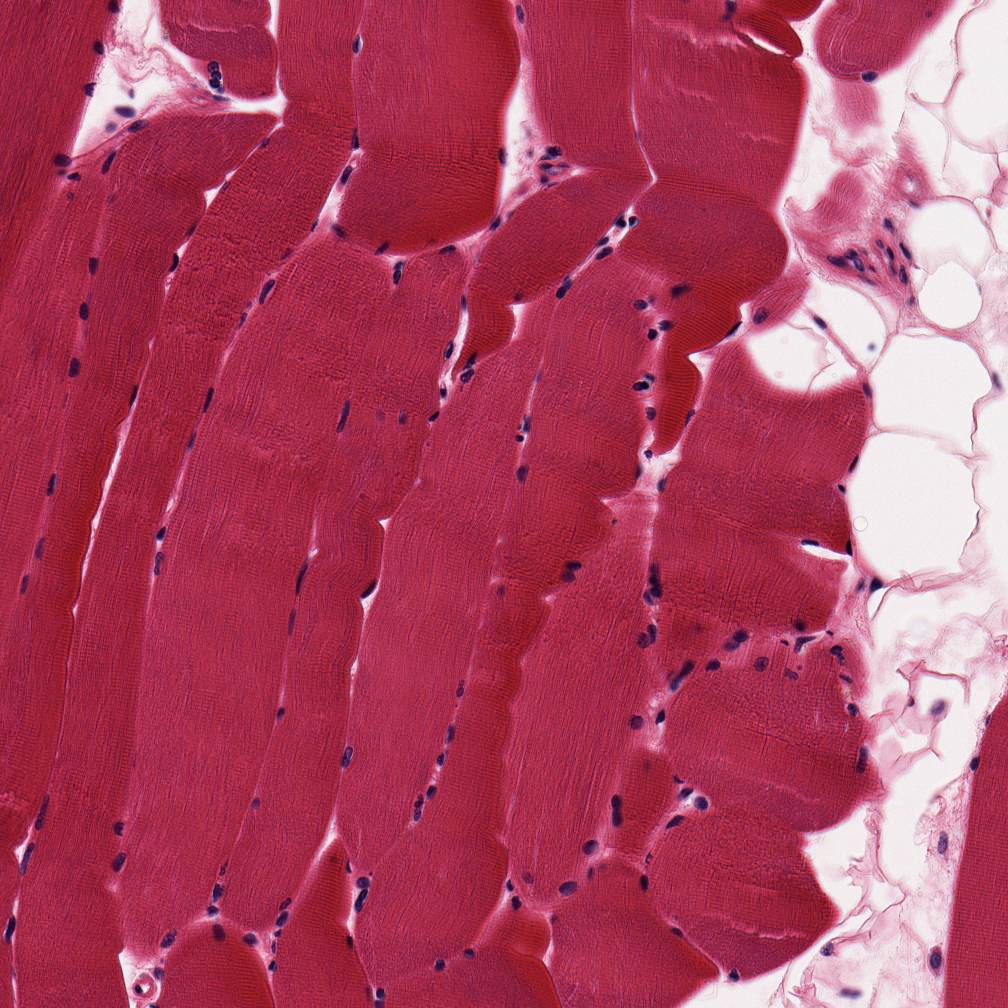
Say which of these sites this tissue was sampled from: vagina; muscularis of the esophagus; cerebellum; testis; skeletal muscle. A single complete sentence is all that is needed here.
This specimen was obtained from the skeletal muscle.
